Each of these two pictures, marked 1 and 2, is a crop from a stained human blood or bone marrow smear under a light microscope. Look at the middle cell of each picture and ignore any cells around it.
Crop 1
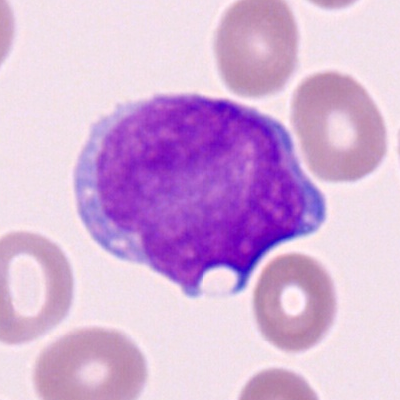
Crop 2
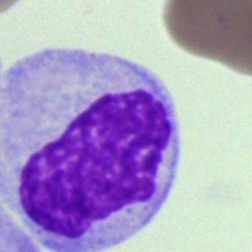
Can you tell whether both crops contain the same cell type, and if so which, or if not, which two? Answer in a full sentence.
No, at the centre of crop 1 is a blast, and at the centre of crop 2 is a monocyte.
